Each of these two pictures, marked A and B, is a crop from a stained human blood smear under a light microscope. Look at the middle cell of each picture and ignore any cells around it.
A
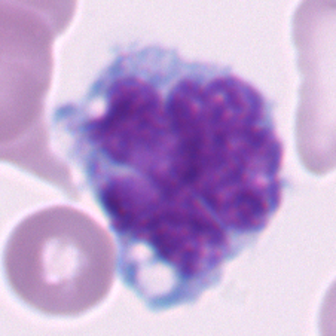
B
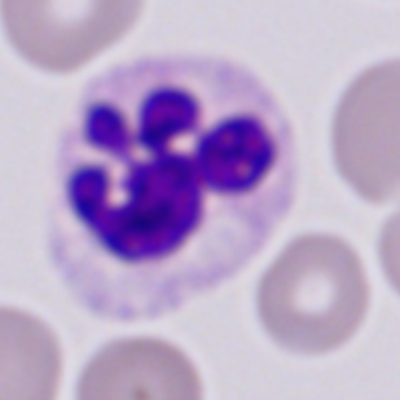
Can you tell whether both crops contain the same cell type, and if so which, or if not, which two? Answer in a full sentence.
No, that is not right; crop A shows a monocyte and crop B shows a segmented neutrophil.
